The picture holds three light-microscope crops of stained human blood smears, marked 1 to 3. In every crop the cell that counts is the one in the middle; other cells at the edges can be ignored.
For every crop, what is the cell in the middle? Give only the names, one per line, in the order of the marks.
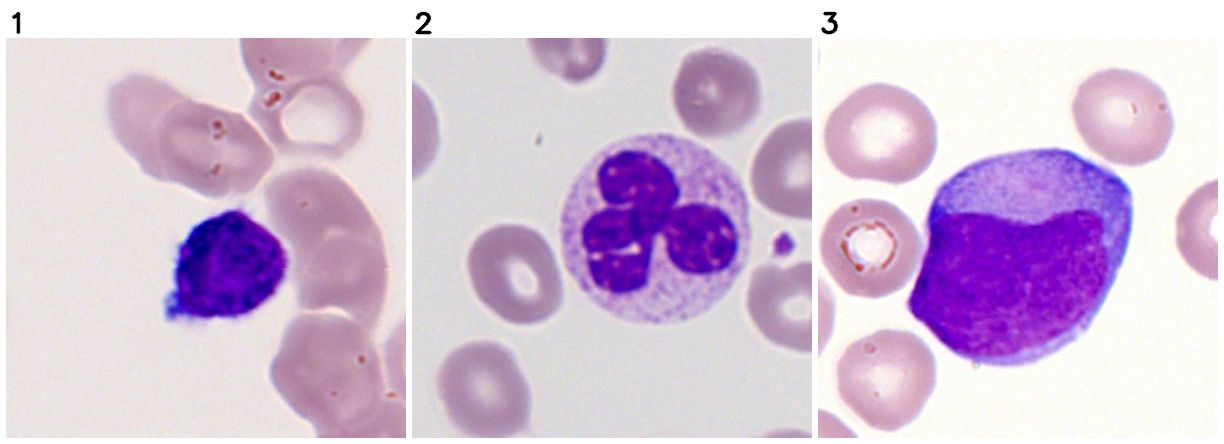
lymphocyte
neutrophil
blast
